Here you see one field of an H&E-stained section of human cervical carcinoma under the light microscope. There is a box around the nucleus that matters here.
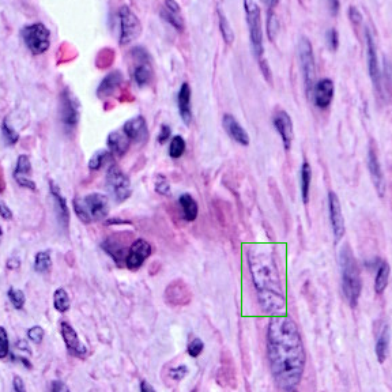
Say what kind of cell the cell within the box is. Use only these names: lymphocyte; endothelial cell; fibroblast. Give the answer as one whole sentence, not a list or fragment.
Placed in its cell category, the cell within the box is an endothelial cell.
